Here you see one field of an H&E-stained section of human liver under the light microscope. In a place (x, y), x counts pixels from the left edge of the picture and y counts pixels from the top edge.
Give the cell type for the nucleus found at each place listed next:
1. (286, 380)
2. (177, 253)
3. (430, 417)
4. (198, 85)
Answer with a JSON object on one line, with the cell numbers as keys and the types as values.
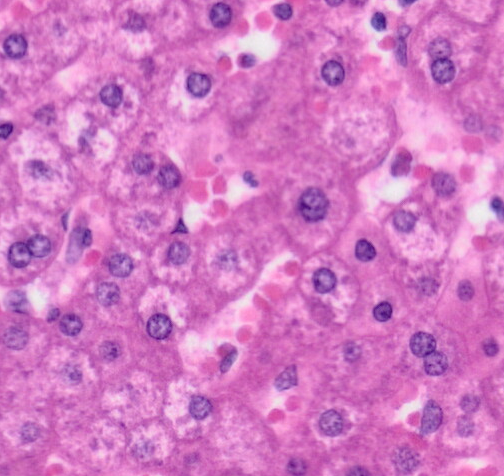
{"1": "endothelial cell", "2": "hepatocyte", "3": "Kupffer cell", "4": "hepatocyte"}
